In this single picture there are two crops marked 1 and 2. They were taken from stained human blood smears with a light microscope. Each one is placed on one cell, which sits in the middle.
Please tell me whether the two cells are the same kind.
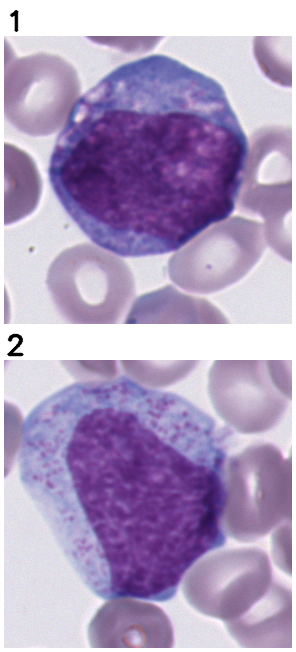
yes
